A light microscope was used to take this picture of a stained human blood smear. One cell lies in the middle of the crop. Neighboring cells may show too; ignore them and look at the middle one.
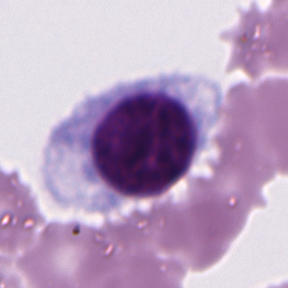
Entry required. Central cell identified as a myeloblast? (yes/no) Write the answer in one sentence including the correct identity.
No, the middle cell is classified as a hairy cell instead of a myeloblast.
